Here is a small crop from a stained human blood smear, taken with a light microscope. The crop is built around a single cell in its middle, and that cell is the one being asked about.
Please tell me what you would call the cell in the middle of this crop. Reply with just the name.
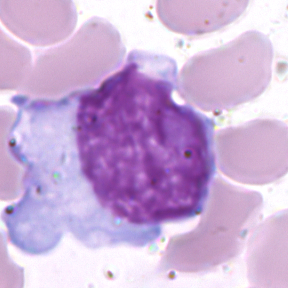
plasma cell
